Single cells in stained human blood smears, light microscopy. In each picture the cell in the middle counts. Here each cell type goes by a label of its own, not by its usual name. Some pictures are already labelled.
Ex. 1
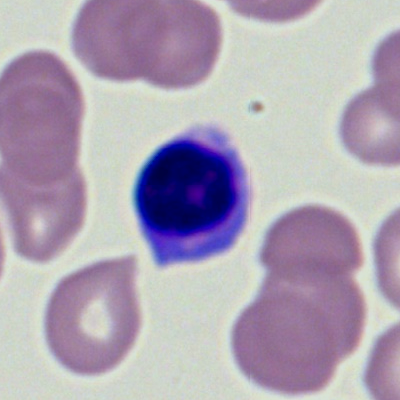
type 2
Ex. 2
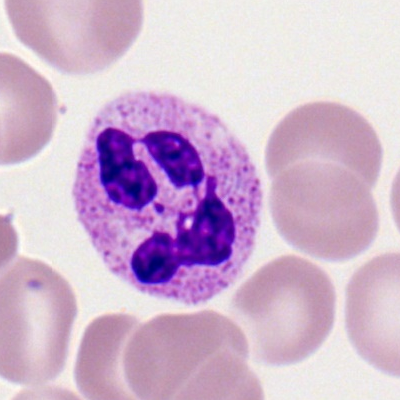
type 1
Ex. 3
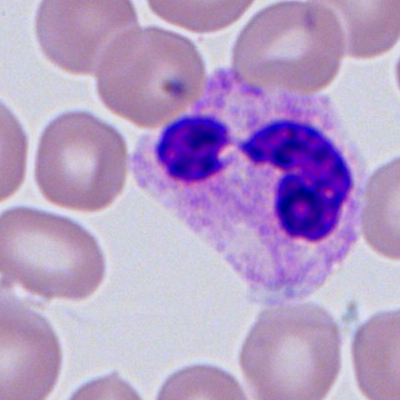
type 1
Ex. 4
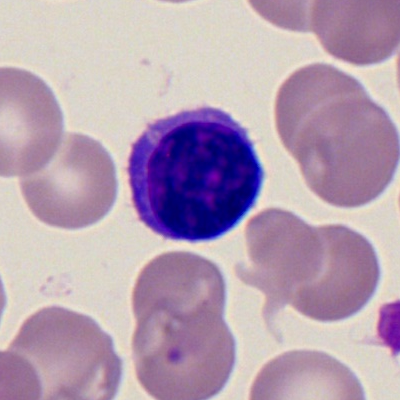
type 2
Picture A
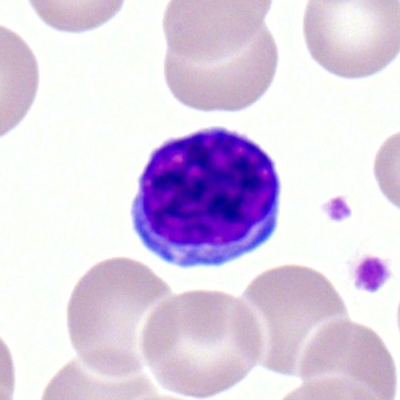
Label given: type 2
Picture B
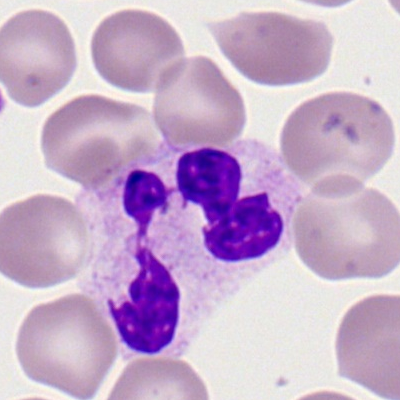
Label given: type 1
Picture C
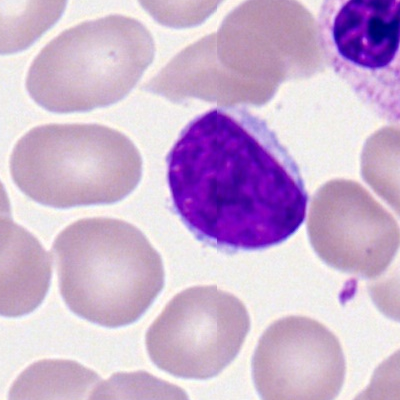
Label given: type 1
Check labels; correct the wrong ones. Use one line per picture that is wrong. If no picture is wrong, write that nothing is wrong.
C is labelled type 1; correct label: type 2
